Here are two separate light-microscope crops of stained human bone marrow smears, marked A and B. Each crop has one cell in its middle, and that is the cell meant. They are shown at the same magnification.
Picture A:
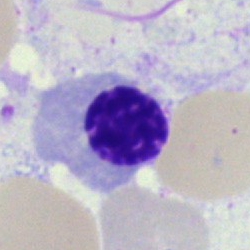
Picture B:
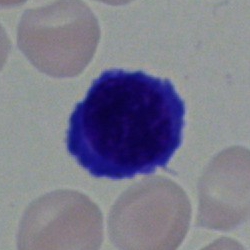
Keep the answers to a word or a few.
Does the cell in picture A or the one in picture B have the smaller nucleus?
A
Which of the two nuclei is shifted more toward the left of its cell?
B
